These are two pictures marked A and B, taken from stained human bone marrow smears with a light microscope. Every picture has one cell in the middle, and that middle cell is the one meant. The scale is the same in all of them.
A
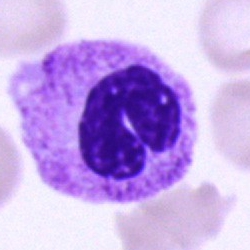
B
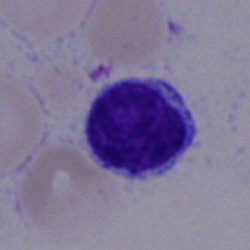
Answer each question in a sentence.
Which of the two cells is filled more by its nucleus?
In crop B the nucleus takes up the larger part of its cell.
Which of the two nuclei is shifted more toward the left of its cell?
The nucleus in crop B lies further toward the left of its cell.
